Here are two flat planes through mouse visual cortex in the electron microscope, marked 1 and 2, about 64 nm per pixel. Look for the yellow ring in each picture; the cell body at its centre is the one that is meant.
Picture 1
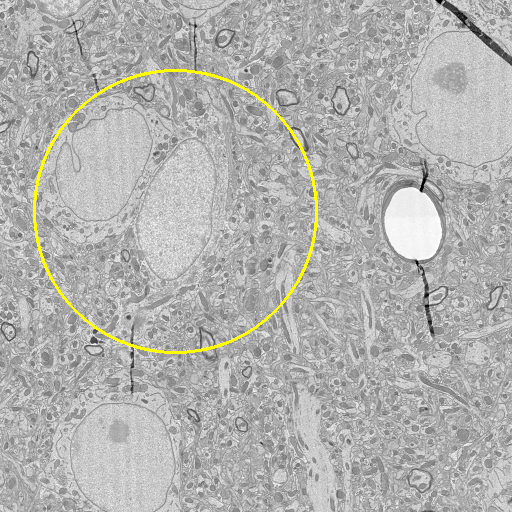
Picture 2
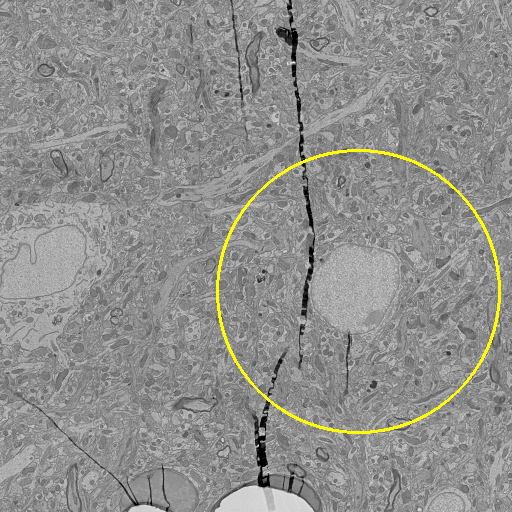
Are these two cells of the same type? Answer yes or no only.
yes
